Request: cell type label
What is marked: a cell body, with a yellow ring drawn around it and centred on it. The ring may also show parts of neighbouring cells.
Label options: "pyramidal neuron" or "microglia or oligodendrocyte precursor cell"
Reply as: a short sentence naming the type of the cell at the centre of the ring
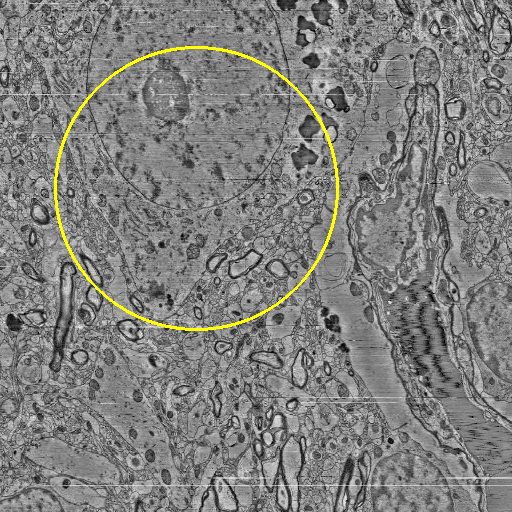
The marked cell body is that of a pyramidal neuron.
